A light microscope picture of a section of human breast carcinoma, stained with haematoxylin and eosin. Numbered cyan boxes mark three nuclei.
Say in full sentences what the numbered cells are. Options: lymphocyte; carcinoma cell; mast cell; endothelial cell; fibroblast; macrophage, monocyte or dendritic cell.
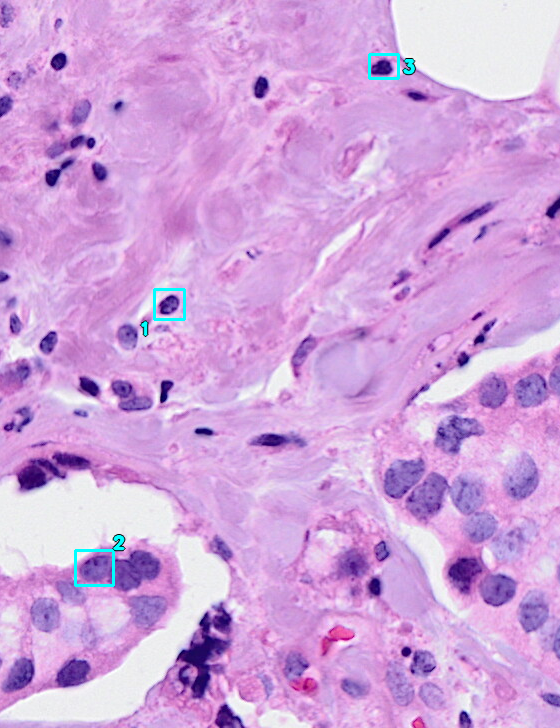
Cells 1 and 3 are lymphocytes. Cell 2 is a carcinoma cell.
